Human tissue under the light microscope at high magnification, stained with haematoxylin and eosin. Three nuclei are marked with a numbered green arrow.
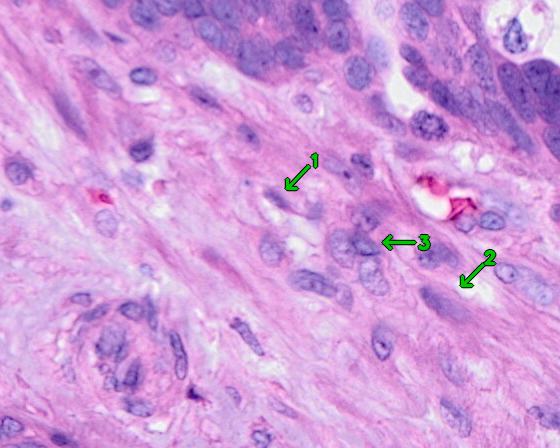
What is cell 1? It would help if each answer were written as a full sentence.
To a fibroblast belongs the nucleus marked 1.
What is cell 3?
Classified as an endothelial cell is the cell with the number 3.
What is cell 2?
The cell with the number 2 is a fibroblast.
